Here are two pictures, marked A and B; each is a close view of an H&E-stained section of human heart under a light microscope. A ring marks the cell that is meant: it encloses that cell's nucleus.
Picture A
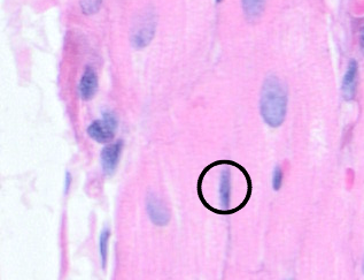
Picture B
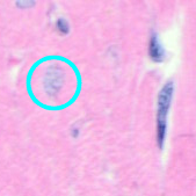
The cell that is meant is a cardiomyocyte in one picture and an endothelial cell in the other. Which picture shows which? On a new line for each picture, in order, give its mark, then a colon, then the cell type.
A: endothelial cell
B: cardiomyocyte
